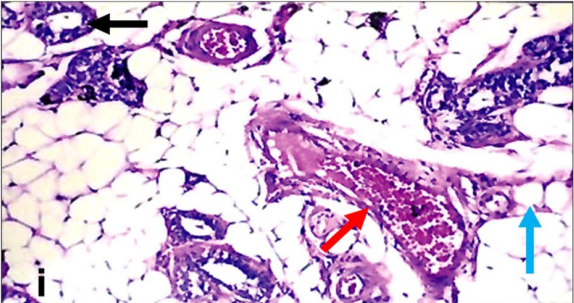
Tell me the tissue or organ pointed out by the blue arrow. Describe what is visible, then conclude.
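Fibro-fatty stroma. The blue arrow points to large empty-looking polygonal cells separated by thin pink septa. Thin strands of pink connective tissue run between these clear cells and the ducts.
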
